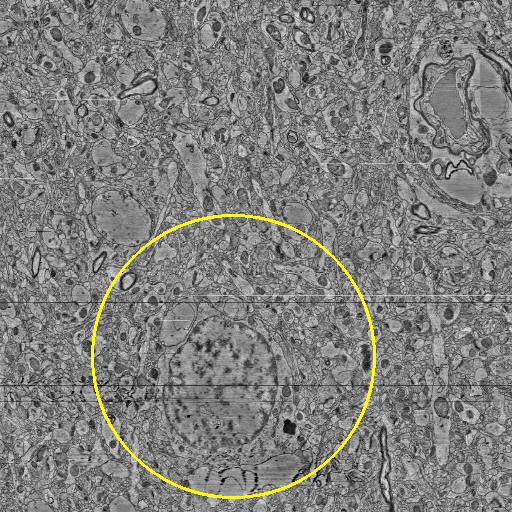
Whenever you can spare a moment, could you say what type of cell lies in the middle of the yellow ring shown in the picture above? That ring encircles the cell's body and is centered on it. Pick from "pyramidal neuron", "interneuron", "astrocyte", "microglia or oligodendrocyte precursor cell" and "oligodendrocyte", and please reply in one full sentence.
The cell whose body sits at the middle of the yellow ring is an interneuron.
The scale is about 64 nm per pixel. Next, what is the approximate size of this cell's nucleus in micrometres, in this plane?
In this plane, approximately 9 by 7 micrometers.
